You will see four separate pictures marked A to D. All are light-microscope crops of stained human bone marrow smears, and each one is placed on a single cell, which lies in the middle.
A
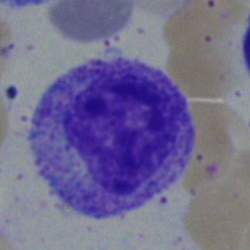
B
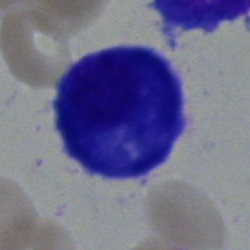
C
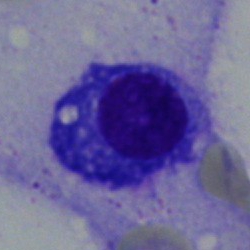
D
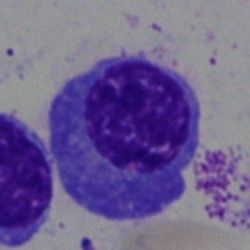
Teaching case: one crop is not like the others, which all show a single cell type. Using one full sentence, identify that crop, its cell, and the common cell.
Crop A differs from its companions, showing a myelocyte where they show plasma cells.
